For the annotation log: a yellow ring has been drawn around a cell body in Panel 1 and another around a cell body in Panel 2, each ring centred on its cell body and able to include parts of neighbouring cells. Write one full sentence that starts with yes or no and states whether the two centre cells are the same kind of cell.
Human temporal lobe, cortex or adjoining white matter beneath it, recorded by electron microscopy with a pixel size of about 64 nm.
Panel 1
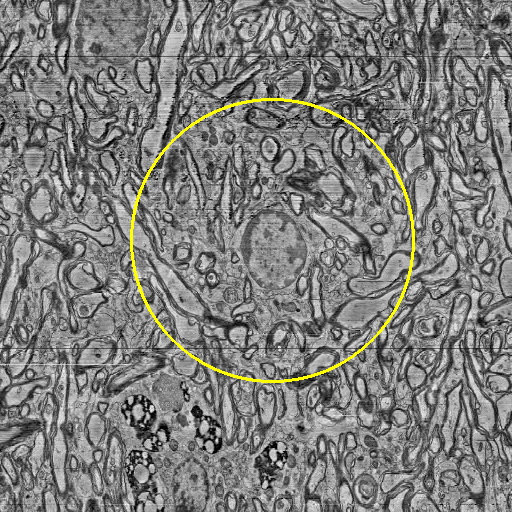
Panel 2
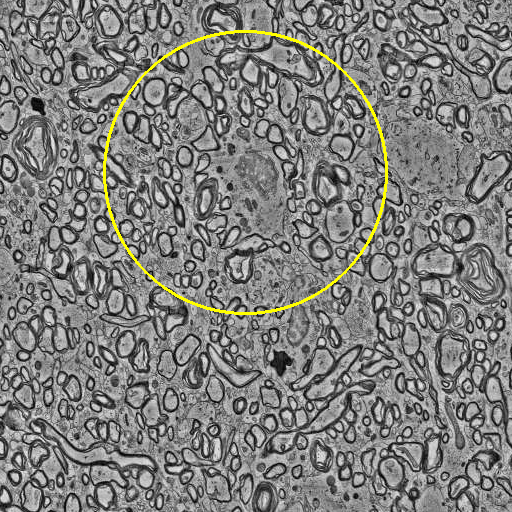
No, the two centre cells are two kinds of cell.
